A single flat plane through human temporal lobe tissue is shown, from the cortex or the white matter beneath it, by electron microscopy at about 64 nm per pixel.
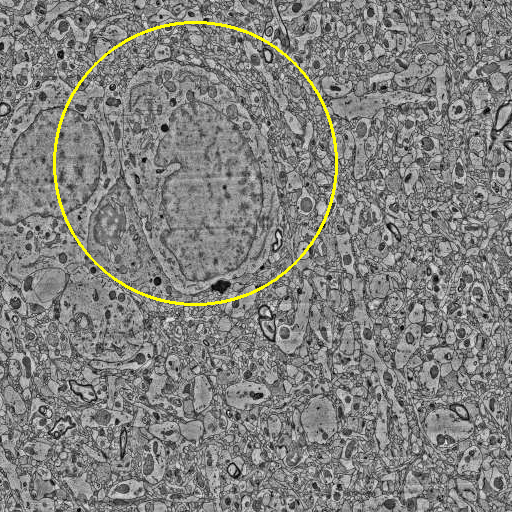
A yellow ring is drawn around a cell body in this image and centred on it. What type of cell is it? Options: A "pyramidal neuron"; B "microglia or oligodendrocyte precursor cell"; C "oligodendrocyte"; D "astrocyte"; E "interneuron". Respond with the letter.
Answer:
E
